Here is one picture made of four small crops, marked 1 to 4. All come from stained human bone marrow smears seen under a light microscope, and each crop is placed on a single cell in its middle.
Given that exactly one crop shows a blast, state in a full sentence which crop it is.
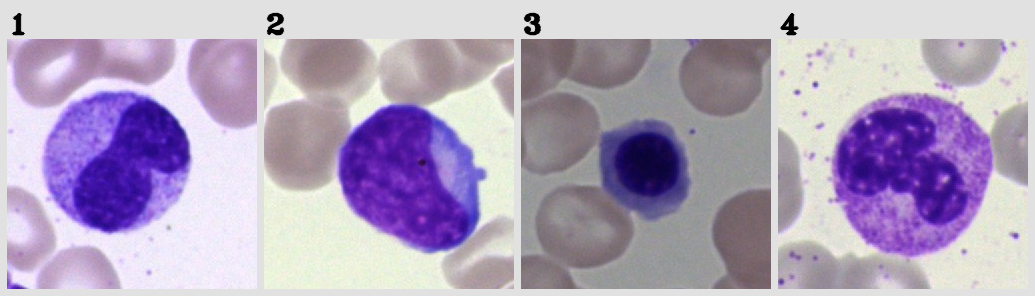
The crop marked 2 is the one that shows a blast.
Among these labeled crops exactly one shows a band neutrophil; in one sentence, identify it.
It is the cell in crop 1 that is a band neutrophil.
